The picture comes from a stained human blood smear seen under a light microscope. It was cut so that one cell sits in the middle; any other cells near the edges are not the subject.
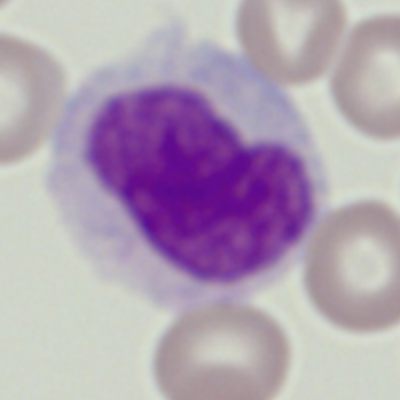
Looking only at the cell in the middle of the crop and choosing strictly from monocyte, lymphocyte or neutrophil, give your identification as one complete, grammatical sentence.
In the central position of this crop, the cell is a monocyte.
